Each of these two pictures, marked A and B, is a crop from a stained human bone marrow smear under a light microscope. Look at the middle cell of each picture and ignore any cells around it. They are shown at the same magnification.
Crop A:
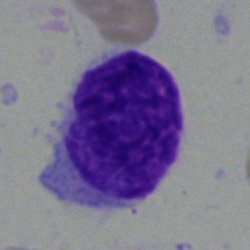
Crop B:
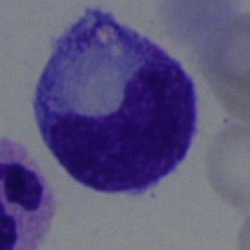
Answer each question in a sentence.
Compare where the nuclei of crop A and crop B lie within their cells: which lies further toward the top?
The nucleus in crop A lies further toward the top of its cell.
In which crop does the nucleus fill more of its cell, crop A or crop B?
The nucleus fills more of the cell in crop A than in crop B.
